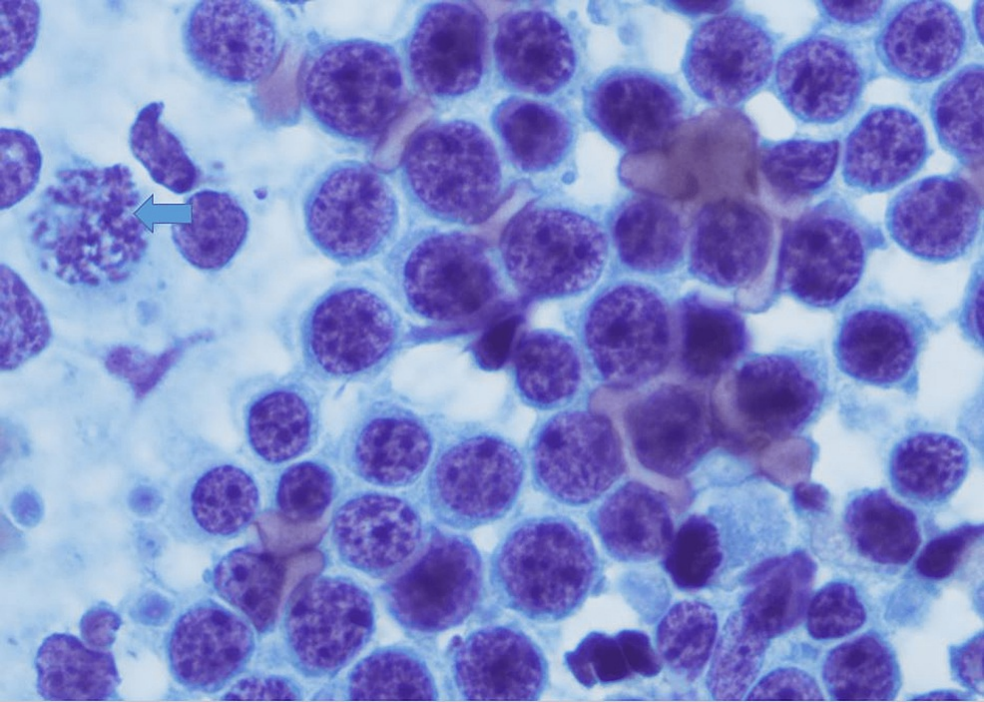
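A cellular smear of loosely cohesive, monotonous round neoplastic cells lies singly and in small loose groups. Each cell has a large round nucleus with coarse, clumped dark purple chromatin and a thin rim of pale blue cytoplasm, and pinkish amorphous material lies between some cells. At the left, one cell shows its chromatin condensed into many separate chromosome-like pieces, a mitotic figure.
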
